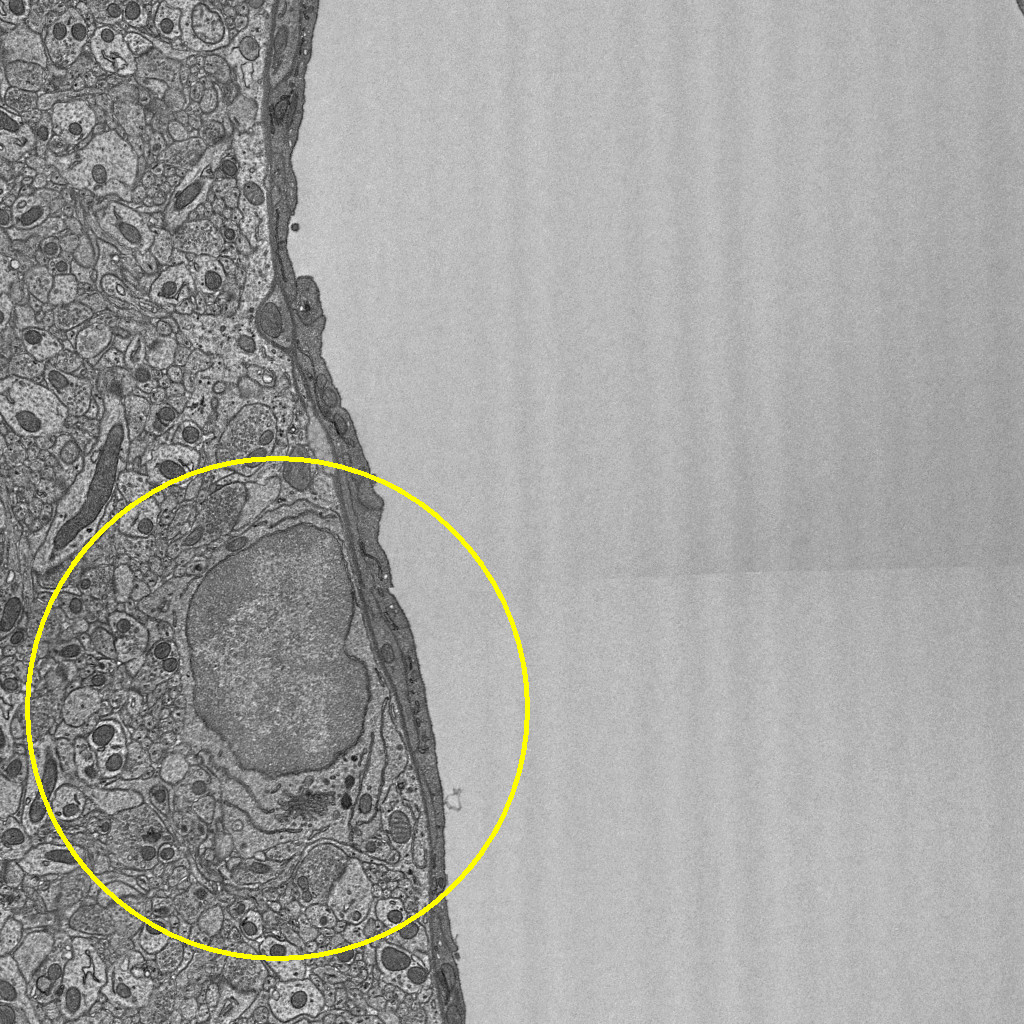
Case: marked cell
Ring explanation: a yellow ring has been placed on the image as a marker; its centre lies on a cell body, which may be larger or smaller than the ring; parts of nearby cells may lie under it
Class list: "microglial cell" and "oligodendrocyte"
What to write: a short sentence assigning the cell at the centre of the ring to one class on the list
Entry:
The cell at the ring's centre is a microglial cell.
